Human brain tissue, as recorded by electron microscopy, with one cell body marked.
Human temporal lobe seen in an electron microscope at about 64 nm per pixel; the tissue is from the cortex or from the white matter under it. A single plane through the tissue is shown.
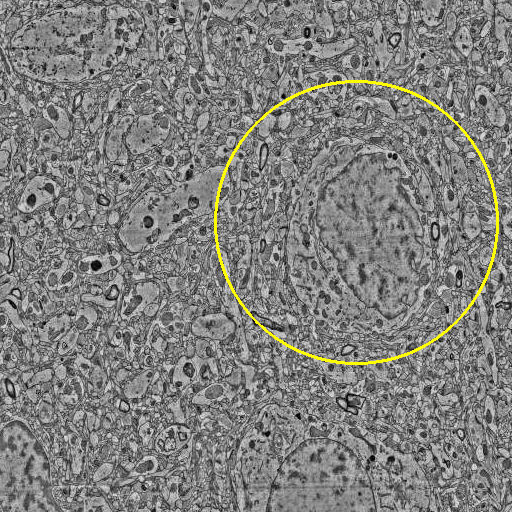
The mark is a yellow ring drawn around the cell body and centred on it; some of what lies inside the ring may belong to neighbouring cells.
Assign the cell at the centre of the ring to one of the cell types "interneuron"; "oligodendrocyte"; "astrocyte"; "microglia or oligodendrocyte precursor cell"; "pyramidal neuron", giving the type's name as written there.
interneuron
